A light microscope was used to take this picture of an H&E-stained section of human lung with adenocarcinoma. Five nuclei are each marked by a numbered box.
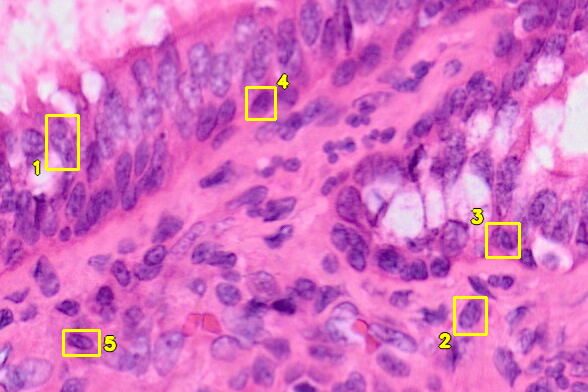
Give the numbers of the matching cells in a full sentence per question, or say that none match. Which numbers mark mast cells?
In short, cell 2 is a mast cell; the others are not.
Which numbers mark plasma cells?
Only the cell with the number 5 is a plasma cell.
